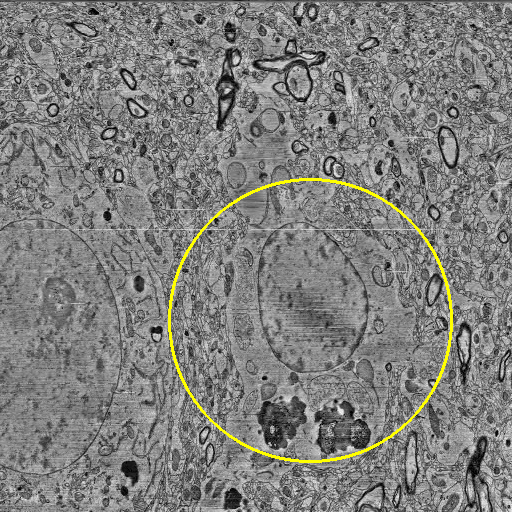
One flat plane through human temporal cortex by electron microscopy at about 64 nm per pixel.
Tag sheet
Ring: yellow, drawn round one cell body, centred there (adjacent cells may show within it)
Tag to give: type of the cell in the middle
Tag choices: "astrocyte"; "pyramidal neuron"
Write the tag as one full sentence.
I tag the cell centred in the yellow ring as an astrocyte in this picture.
